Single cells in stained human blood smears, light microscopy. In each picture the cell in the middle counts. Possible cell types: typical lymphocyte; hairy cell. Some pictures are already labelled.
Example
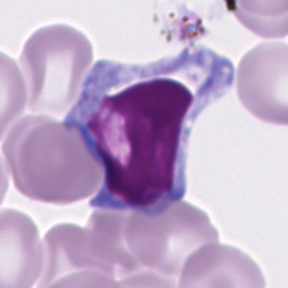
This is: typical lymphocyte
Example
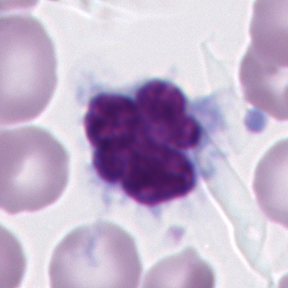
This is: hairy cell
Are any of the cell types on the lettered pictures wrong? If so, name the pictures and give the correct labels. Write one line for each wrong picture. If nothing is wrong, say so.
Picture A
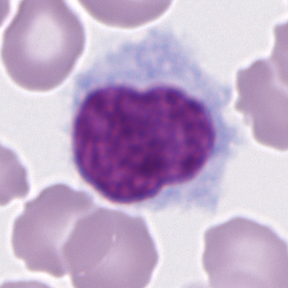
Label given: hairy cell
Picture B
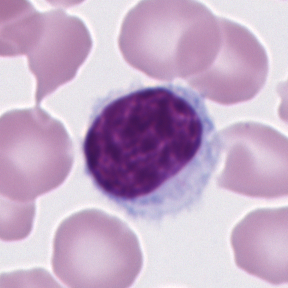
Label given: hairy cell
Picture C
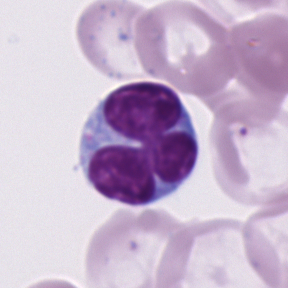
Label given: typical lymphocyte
All correct.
